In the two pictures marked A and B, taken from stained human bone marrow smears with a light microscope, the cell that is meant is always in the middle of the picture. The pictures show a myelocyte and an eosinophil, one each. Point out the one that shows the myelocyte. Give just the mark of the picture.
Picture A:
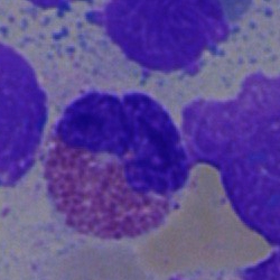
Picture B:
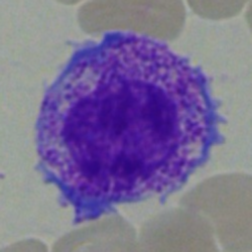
B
